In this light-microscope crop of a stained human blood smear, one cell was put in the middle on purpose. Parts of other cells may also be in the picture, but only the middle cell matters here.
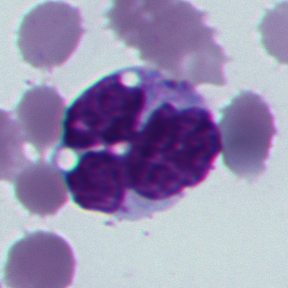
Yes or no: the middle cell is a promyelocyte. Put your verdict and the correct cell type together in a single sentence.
No, the one in the center is not a promyelocyte; it is a monocyte.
